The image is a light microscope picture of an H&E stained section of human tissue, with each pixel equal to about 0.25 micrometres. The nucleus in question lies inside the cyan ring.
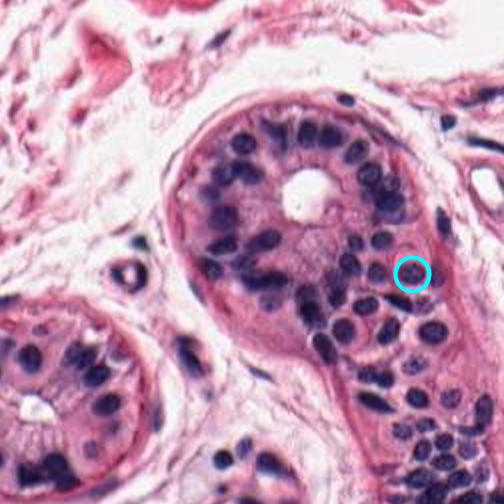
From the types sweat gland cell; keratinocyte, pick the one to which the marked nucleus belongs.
sweat gland cell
